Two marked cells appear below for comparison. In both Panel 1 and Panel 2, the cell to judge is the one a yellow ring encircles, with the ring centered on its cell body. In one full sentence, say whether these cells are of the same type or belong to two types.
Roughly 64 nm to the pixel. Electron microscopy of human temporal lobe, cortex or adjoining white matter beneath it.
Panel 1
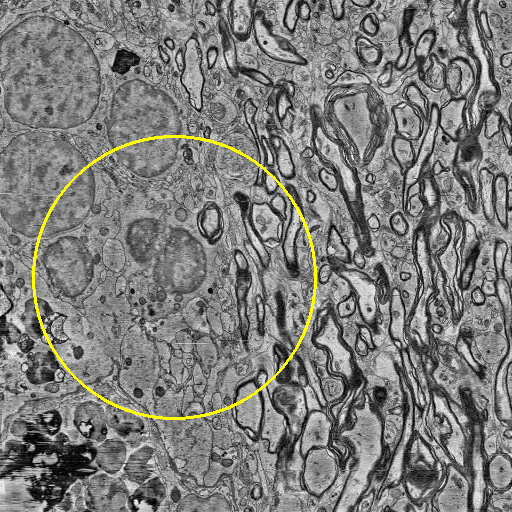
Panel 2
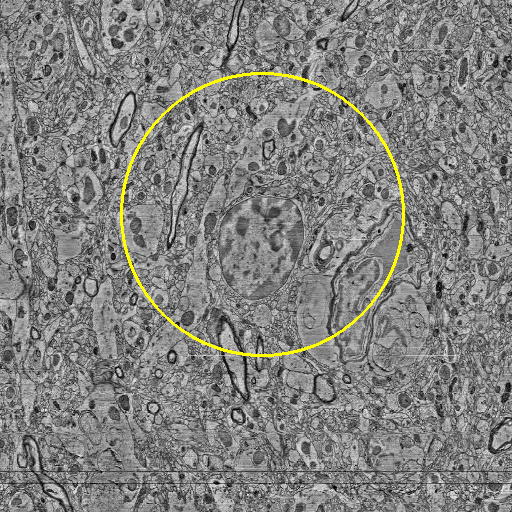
The cell centered in the Panel 1 ring and the one in Panel 2 belong to two types.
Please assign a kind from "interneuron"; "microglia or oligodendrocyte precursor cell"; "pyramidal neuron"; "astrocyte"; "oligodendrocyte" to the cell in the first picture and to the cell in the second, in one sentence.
In the first picture we have an oligodendrocyte, and in the second, a microglial cell or oligodendrocyte precursor cell.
